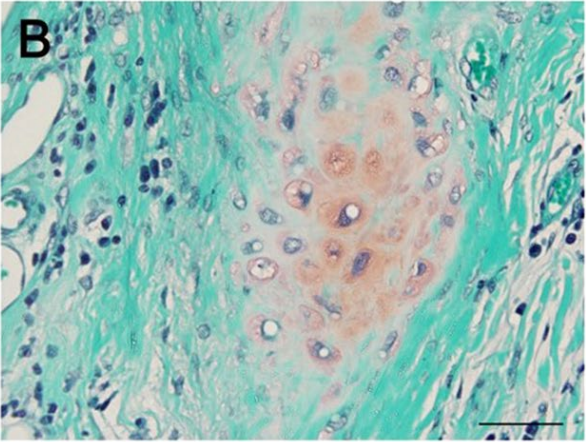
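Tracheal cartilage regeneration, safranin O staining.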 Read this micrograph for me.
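In the middle of green-stained, wavy fibrous connective tissue lies a loose patch of faintly orange-red matrix. The patch is poorly demarcated and its matrix staining is pale and uneven. This is a small, immature cartilaginous islet forming within fibrous tissue.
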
